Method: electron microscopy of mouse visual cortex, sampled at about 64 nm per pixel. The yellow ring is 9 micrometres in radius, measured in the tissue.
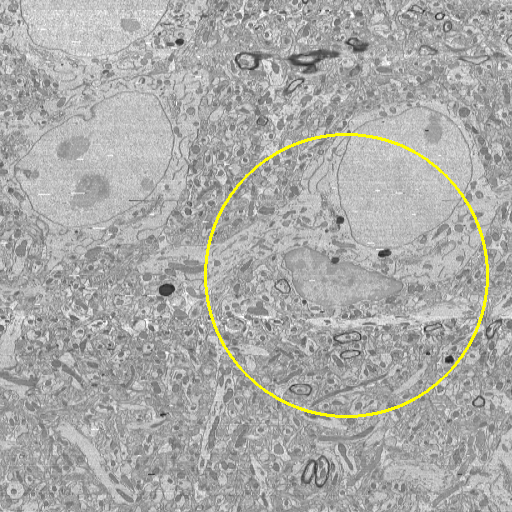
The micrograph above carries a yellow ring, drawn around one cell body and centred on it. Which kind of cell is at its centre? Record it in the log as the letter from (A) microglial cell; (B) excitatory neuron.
A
